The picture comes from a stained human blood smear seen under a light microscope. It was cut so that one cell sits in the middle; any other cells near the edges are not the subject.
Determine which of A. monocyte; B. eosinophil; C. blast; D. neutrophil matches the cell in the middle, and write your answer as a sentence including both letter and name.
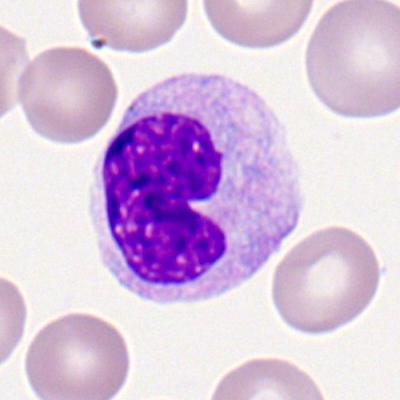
Option A is correct here, and the cell in the middle is a monocyte.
